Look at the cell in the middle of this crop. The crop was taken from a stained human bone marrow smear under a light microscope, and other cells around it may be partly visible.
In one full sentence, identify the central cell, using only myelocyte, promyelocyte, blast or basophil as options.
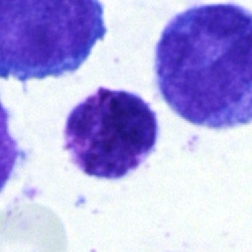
The cell in the middle of the field of view is a basophil.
